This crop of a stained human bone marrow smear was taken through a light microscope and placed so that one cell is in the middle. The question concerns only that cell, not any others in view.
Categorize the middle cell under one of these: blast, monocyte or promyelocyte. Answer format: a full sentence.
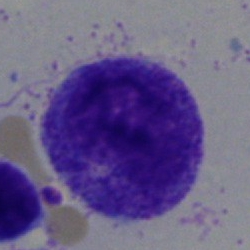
Occupying the centre of the crop is a promyelocyte.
